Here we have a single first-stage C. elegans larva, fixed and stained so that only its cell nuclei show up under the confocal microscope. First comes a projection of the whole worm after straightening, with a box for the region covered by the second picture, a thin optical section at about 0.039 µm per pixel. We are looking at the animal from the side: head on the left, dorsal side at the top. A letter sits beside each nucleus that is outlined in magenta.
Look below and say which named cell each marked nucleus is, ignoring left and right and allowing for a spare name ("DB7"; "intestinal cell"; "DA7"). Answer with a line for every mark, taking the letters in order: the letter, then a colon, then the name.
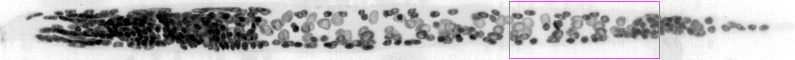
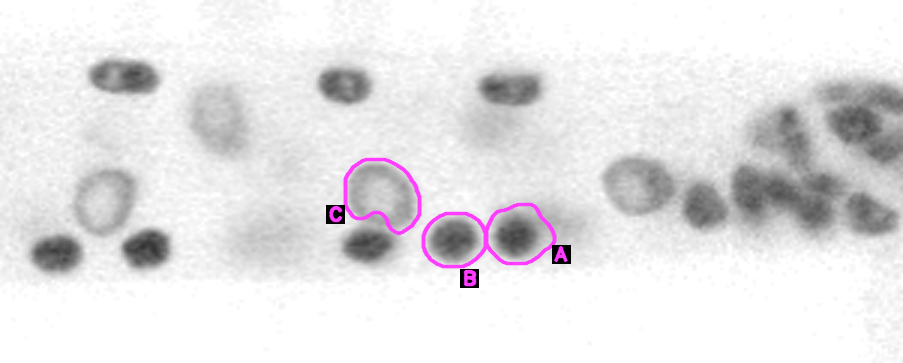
A: DA7
B: DB7
C: intestinal cell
